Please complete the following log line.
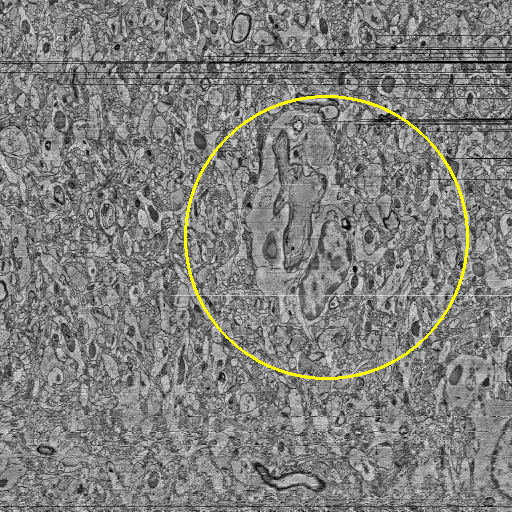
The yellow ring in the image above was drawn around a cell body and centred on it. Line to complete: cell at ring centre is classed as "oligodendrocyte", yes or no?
no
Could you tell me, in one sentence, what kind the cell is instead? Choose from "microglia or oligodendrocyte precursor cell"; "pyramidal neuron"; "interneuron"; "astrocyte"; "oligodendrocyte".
The ring's central cell is a microglial cell or oligodendrocyte precursor cell instead.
